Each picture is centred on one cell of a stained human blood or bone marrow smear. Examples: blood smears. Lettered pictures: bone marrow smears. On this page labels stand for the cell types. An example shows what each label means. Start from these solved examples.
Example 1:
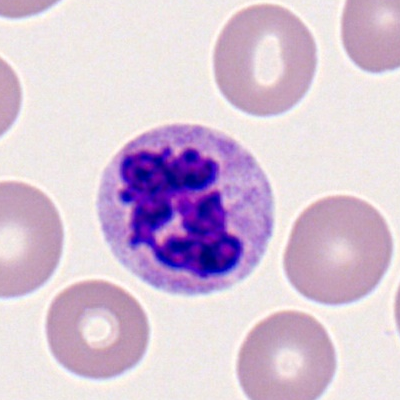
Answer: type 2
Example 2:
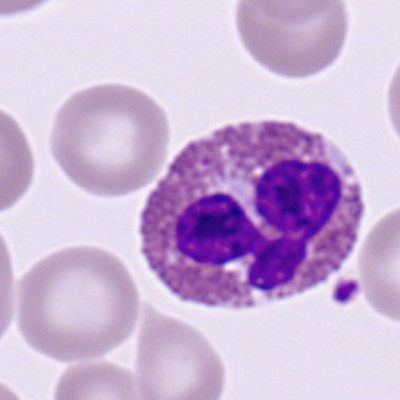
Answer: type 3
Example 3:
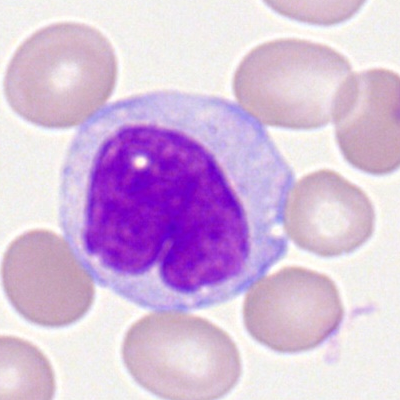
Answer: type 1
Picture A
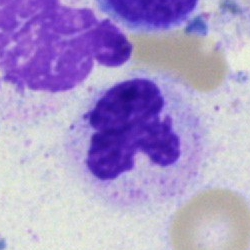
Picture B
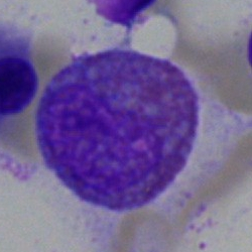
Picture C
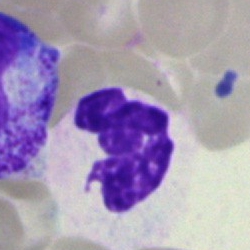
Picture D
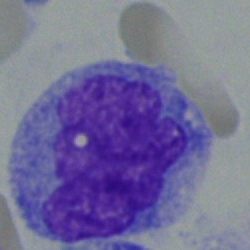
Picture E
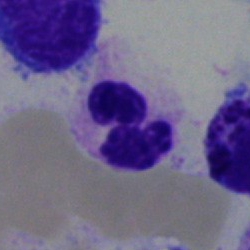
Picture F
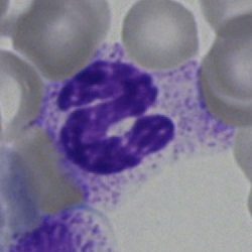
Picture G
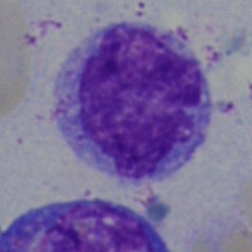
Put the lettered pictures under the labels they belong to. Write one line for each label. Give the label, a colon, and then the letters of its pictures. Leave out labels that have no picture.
type 2: A, C, E, F
type 3: B
type 1: D, G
